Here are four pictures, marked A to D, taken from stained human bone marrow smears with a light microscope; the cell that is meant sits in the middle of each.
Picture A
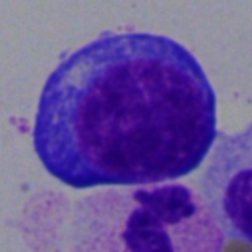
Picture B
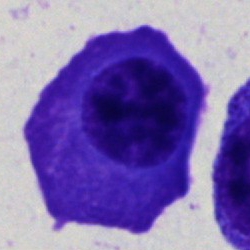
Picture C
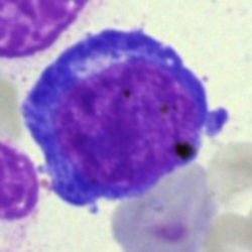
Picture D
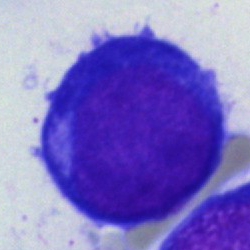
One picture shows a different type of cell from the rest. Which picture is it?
B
